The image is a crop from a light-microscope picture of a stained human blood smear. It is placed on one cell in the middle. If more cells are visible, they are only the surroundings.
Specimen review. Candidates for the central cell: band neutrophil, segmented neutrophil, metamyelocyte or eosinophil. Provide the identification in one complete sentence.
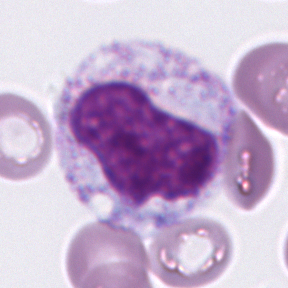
Regarding the central cell, it is a metamyelocyte.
